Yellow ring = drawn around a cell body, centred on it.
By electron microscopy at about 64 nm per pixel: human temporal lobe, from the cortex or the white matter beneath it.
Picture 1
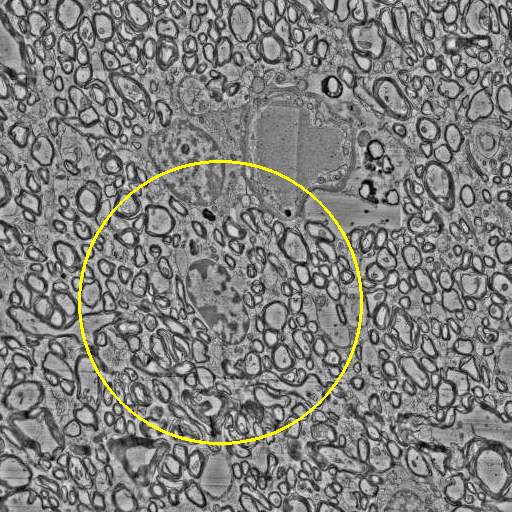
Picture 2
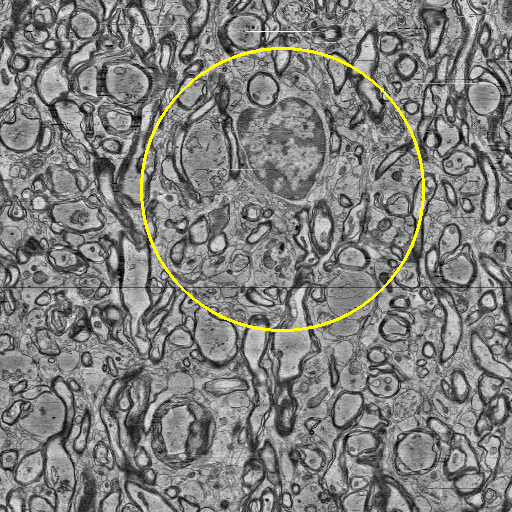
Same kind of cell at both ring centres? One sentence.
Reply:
Yes, they are the same kind of cell.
